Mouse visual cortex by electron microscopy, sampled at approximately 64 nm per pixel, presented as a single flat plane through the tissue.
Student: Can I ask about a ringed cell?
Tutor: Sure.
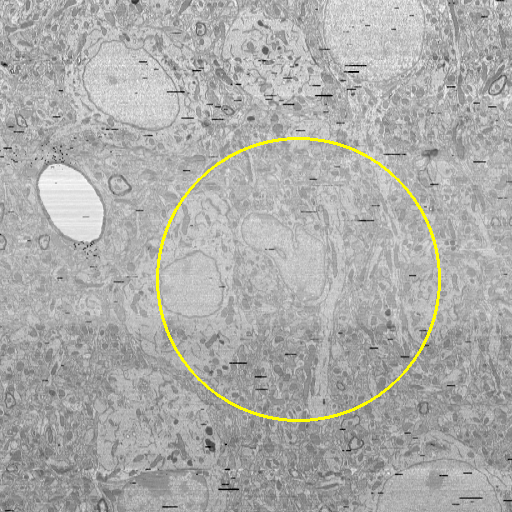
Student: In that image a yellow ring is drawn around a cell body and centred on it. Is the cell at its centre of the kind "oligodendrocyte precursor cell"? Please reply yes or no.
Yes, the cell is of that kind.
